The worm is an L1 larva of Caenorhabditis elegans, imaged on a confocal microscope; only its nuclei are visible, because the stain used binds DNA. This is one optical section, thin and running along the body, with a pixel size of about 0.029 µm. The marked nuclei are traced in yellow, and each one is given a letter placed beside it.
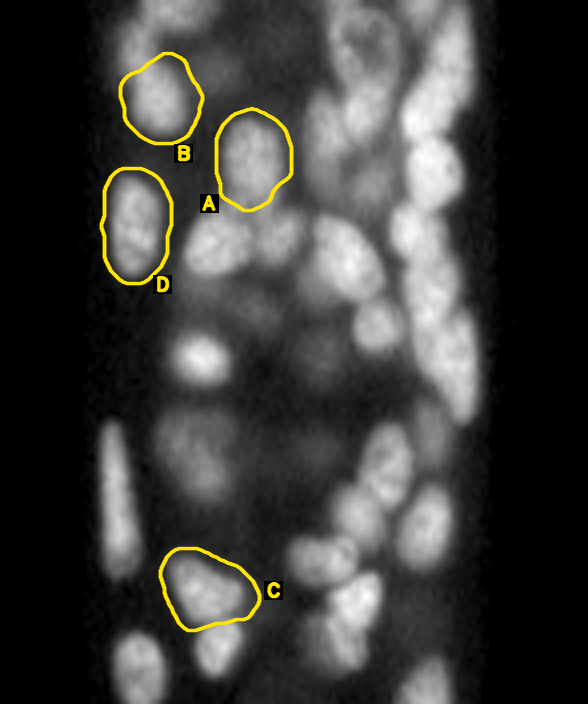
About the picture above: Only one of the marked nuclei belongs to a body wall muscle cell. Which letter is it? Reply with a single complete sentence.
D is the nucleus of a body wall muscle cell.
